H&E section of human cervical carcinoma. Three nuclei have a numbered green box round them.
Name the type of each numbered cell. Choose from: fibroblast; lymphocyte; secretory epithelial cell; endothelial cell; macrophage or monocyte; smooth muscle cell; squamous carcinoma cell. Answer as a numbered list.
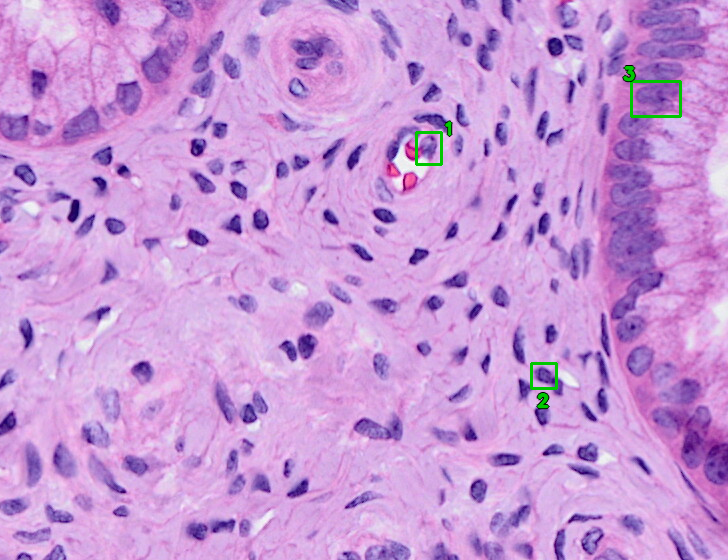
1. endothelial cell
2. fibroblast
3. secretory epithelial cell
